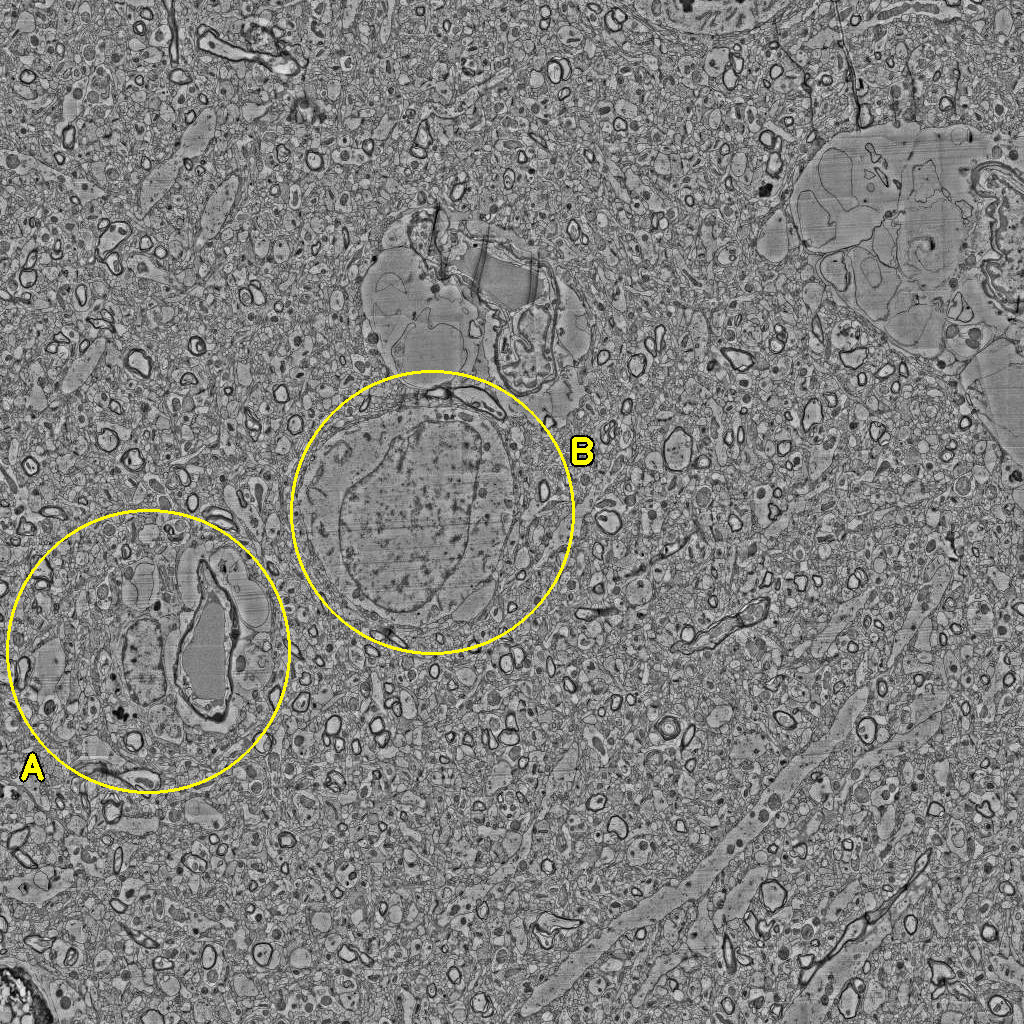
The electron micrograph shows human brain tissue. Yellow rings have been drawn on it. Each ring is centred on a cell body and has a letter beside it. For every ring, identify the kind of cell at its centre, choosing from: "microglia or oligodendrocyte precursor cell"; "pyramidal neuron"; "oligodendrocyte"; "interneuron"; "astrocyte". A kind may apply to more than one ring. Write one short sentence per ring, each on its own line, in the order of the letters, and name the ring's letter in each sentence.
Ring A is centred on a microglial cell or oligodendrocyte precursor cell.
Ring B is centred on a pyramidal neuron.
